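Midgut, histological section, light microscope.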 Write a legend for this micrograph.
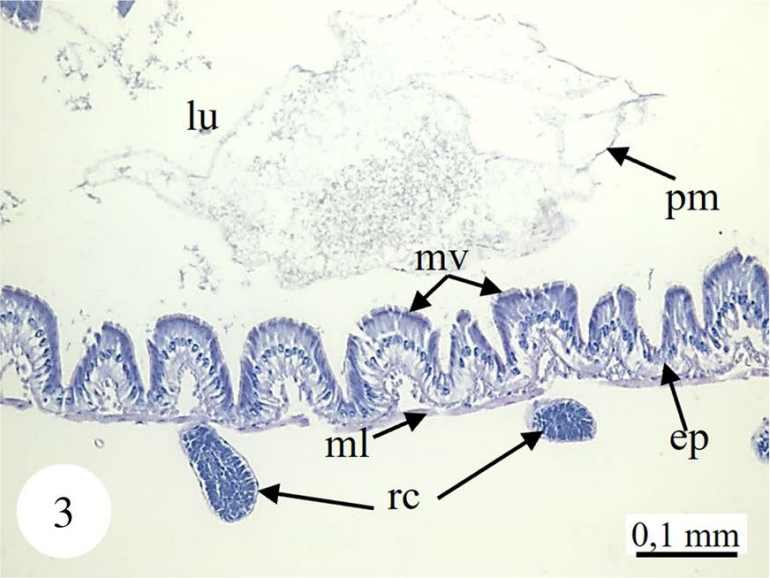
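The gut wall is lined by a single layer of tall columnar epithelial cells, folded into regular ridges, with a brush border on the side facing the lumen and nuclei in a row through the middle of the cells. A thin sheet of muscle runs beneath the epithelium, and rounded, densely packed nests of small cells bulge outward from its outer side. In the wide lumen lies a thin, wavy membrane surrounding a loosely granular content.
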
